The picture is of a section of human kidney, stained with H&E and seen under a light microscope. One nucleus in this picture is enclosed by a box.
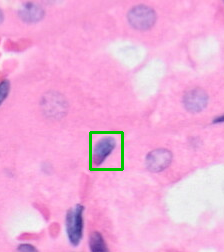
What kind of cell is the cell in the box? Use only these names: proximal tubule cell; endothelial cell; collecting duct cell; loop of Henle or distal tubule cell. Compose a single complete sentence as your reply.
In the context of this tissue, the cell in the box is an endothelial cell.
